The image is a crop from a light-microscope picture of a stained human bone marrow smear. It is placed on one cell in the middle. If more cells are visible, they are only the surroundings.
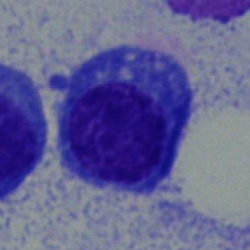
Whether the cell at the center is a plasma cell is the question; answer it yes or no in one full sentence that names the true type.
Yes, the middle cell of the field is a plasma cell.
